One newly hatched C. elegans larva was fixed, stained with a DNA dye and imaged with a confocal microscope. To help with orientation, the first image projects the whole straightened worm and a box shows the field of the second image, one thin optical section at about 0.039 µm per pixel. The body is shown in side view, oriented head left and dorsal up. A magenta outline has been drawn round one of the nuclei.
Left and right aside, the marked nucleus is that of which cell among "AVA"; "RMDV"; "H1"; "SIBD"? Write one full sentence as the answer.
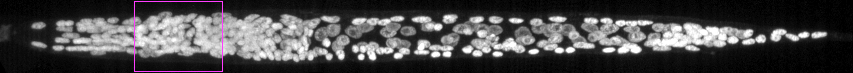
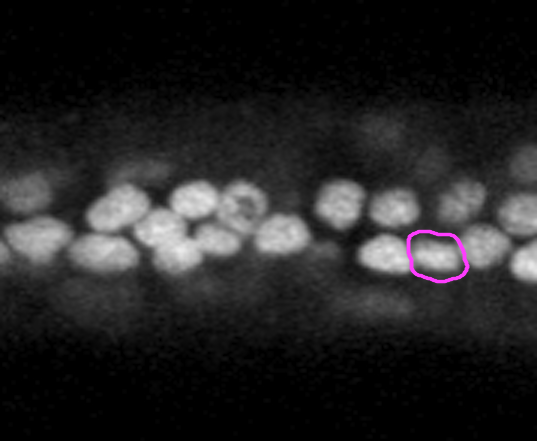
This is the nucleus of SIBD, a neuron.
